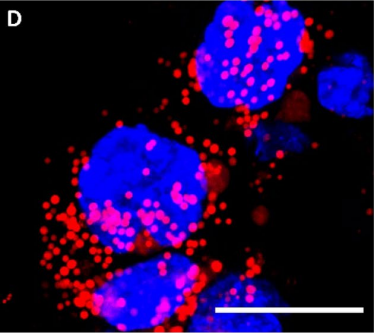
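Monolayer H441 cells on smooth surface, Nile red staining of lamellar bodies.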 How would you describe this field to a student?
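Cultured epithelial cells with large oval blue nuclei, closely crowded together. Numerous small round red droplets of fairly even size lie in the cytoplasm around the nuclei and overlie them, clustering densely in some cells.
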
